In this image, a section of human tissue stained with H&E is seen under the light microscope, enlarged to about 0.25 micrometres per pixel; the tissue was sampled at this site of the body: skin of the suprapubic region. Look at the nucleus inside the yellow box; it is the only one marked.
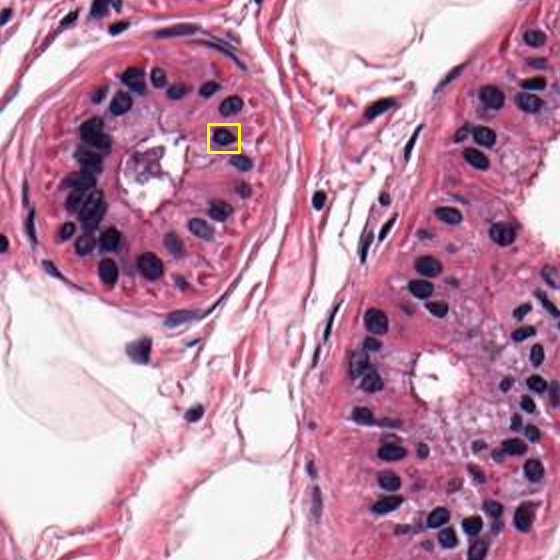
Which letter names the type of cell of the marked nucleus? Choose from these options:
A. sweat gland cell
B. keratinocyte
A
